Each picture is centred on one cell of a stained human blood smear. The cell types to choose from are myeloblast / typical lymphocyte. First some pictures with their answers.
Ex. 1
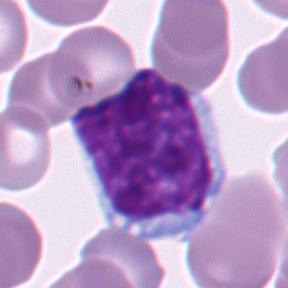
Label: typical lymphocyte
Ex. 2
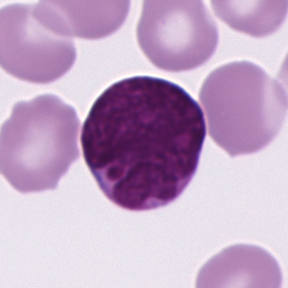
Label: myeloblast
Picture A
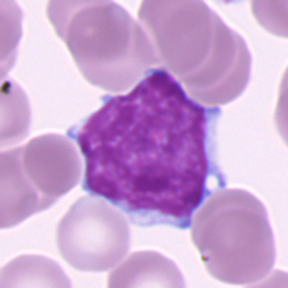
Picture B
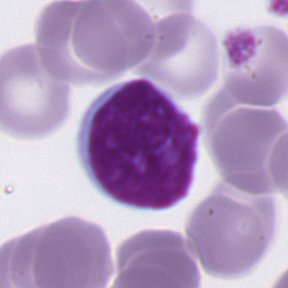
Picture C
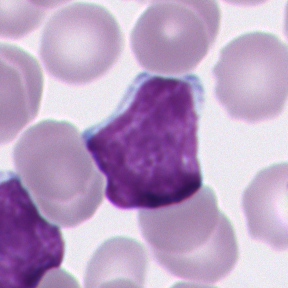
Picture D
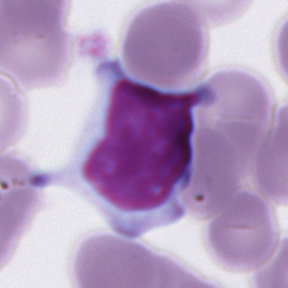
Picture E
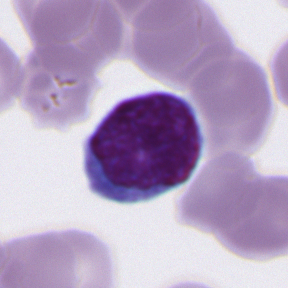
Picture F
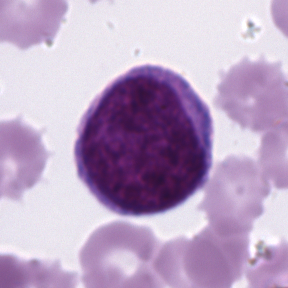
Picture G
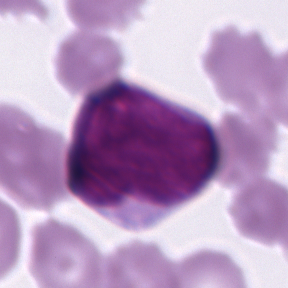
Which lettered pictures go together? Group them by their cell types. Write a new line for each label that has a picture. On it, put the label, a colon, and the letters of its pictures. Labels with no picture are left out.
myeloblast: F, G
typical lymphocyte: A, B, C, D, E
